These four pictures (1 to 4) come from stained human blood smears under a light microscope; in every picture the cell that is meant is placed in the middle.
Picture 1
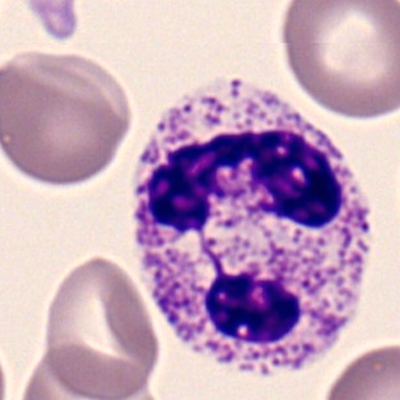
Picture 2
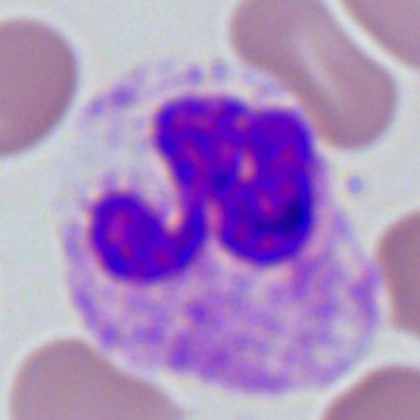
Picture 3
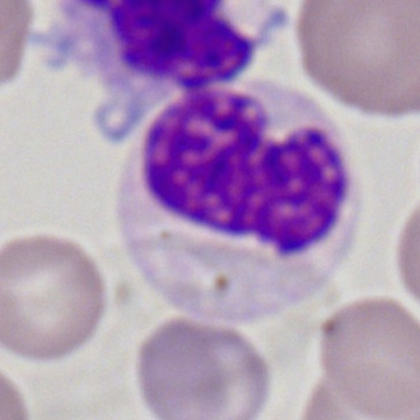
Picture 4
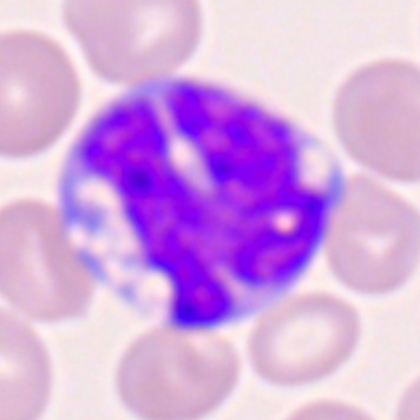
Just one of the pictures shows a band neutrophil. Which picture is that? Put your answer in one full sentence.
Picture 3 is the one that shows the band neutrophil.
